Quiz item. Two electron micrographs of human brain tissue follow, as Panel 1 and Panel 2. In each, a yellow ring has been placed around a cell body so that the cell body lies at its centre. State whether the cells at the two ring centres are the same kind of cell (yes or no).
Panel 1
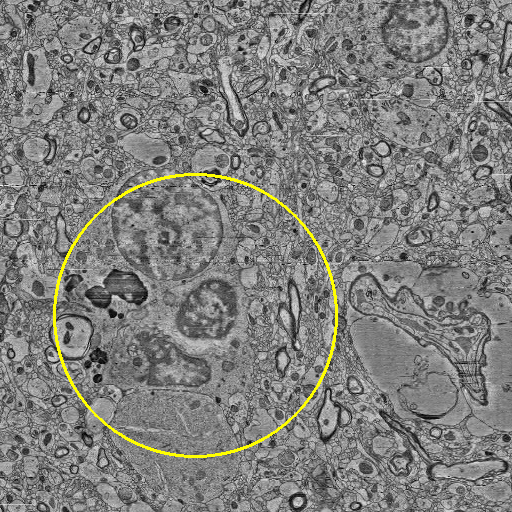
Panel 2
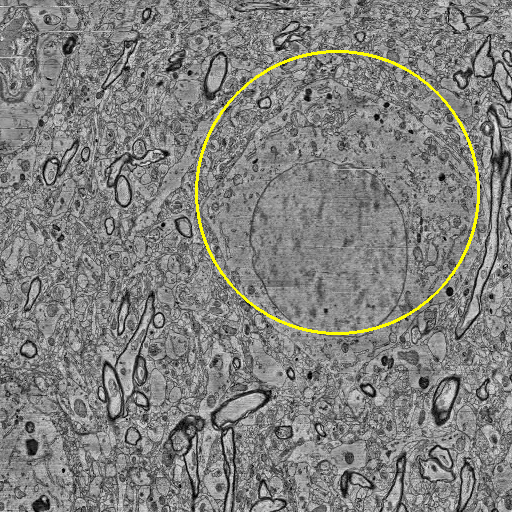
no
